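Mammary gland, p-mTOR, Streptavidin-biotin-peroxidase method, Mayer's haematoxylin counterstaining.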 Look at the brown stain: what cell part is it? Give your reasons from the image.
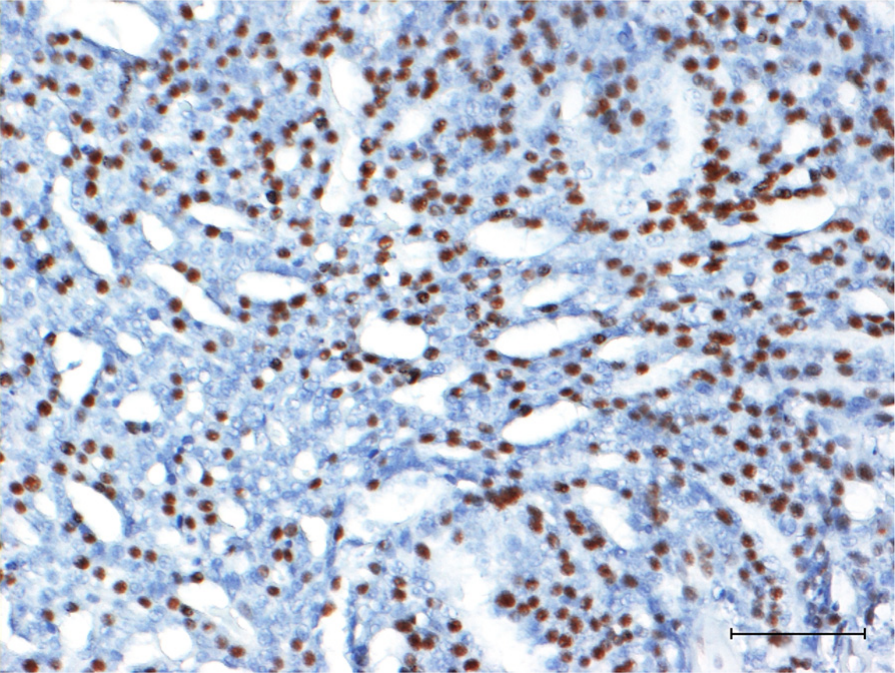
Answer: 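Brown colour fills round nuclei. Cytoplasm stays pale blue. Many other nuclei are blue only. So: nuclear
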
